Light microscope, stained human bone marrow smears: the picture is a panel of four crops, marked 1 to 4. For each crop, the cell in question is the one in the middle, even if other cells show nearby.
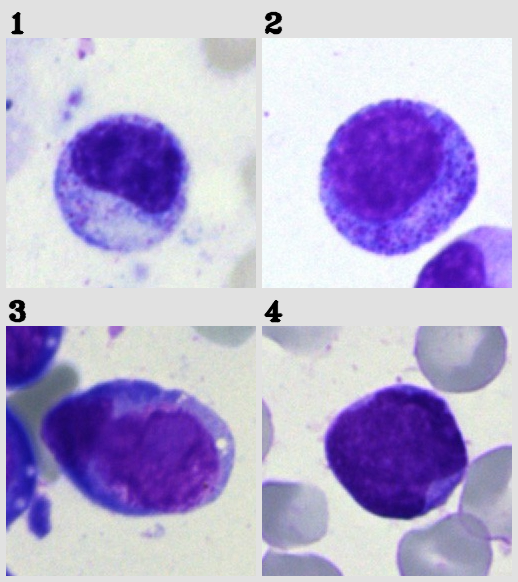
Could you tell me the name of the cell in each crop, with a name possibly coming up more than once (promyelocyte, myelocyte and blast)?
1: myelocyte
2: promyelocyte
3: blast
4: blast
